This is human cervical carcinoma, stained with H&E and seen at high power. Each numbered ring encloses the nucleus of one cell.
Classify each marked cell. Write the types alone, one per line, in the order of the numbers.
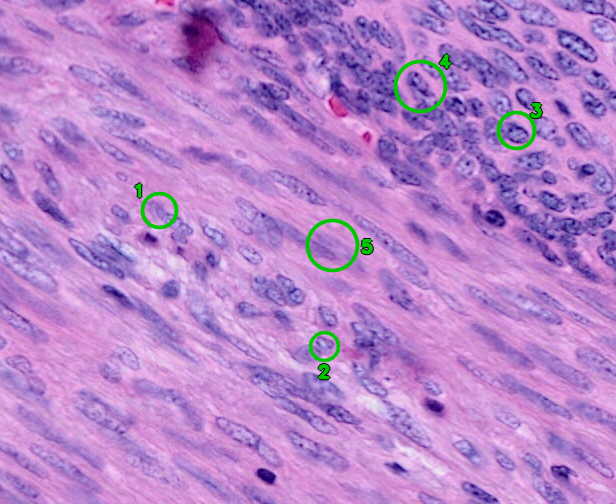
smooth muscle cell
smooth muscle cell
squamous carcinoma cell
squamous carcinoma cell
smooth muscle cell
